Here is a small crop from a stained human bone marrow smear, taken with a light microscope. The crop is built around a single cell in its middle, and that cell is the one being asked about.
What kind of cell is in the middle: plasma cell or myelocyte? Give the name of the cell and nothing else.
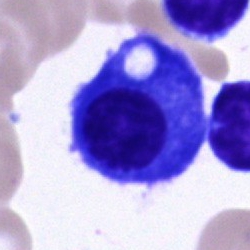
plasma cell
